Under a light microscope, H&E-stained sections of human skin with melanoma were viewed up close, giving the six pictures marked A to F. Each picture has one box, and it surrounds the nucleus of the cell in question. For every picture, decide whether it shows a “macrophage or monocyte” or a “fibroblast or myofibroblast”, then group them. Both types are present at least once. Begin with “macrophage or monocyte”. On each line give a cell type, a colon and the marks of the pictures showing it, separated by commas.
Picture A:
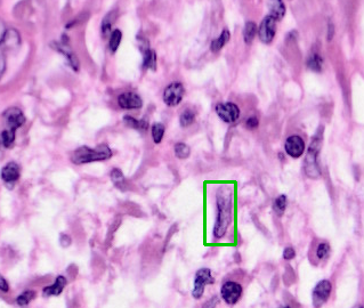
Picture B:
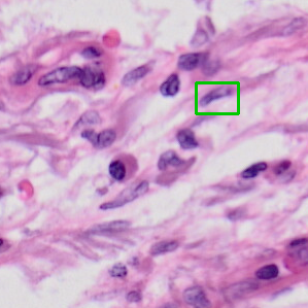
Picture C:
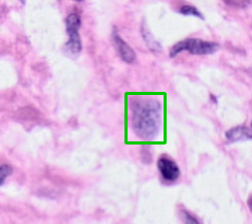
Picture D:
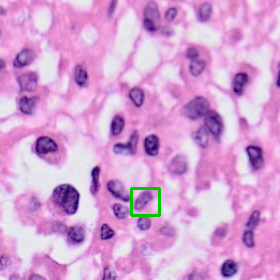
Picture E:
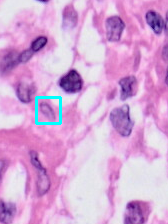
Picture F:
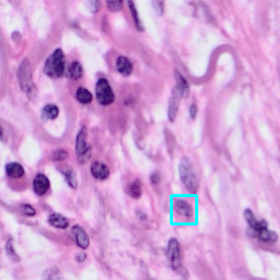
macrophage or monocyte: D, E, F
fibroblast or myofibroblast: A, B, C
